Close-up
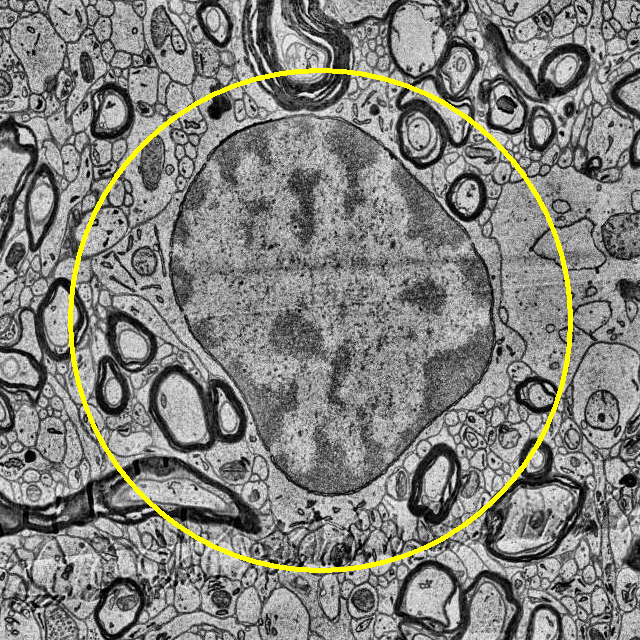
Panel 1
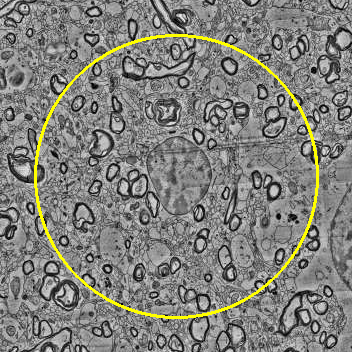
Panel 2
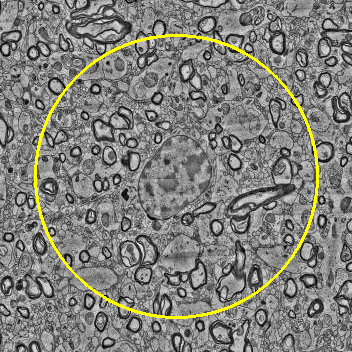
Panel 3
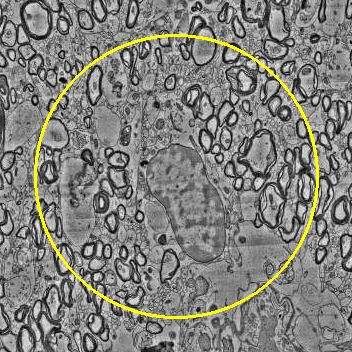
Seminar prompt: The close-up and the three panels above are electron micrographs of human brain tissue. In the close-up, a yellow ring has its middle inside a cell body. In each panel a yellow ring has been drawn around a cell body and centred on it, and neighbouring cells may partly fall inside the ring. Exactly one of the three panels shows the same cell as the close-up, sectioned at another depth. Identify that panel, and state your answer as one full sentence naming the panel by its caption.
The close-up depicts the ringed cell from Panel 1.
